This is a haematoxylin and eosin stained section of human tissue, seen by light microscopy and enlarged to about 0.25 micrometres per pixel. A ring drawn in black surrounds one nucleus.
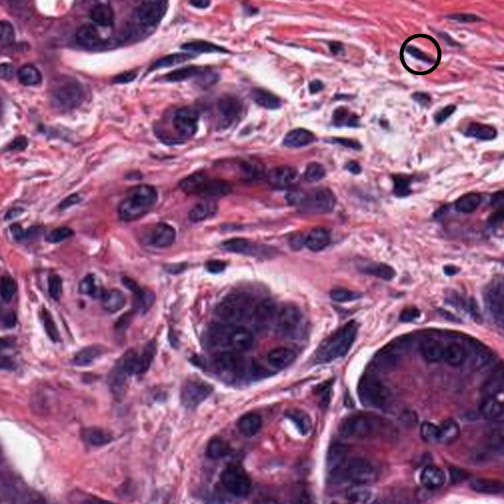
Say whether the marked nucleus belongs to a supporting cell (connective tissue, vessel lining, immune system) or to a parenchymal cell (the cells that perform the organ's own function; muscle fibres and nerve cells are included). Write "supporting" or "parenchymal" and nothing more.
supporting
